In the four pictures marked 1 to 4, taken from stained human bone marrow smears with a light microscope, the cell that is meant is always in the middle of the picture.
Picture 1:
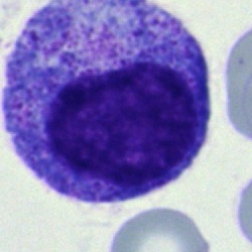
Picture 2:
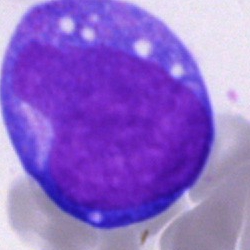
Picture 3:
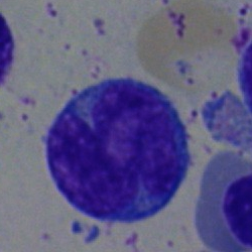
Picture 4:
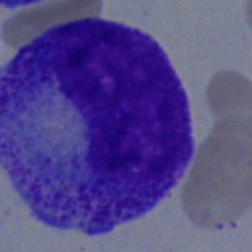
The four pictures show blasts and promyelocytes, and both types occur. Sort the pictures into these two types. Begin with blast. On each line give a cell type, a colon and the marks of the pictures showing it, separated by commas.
blast: 2, 3
promyelocyte: 1, 4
